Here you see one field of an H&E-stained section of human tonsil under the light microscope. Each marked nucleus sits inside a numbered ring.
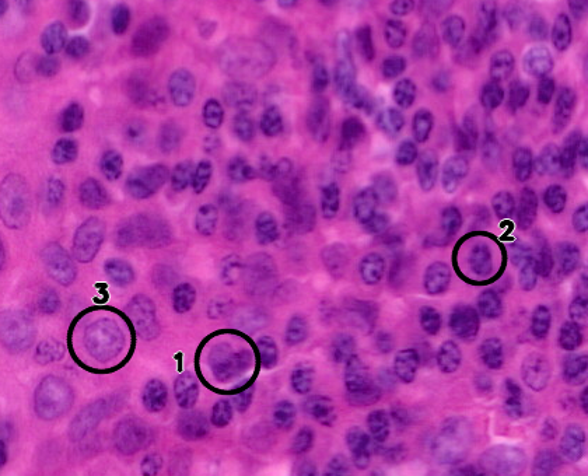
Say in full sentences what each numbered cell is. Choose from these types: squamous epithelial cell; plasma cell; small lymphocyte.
Cells 1 and 3 are squamous epithelial cells. Cell 2 is a plasma cell.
